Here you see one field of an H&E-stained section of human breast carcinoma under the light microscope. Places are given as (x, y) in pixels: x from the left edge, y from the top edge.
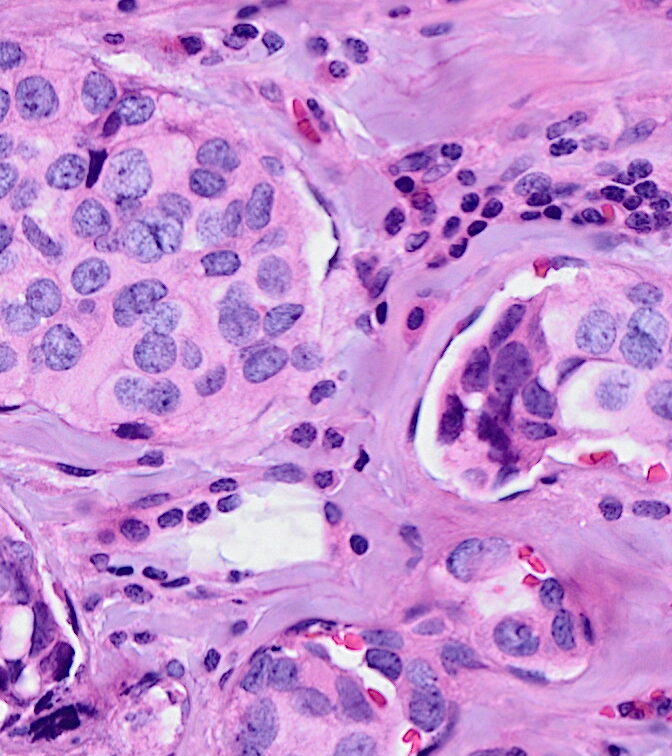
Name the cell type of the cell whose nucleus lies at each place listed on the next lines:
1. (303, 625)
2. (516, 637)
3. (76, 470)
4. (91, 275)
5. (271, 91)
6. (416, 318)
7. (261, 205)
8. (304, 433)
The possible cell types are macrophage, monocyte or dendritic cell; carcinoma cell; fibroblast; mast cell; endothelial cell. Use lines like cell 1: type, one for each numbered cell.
cell 1: endothelial cell
cell 2: carcinoma cell
cell 3: fibroblast
cell 4: carcinoma cell
cell 5: endothelial cell
cell 6: mast cell
cell 7: carcinoma cell
cell 8: macrophage, monocyte or dendritic cell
